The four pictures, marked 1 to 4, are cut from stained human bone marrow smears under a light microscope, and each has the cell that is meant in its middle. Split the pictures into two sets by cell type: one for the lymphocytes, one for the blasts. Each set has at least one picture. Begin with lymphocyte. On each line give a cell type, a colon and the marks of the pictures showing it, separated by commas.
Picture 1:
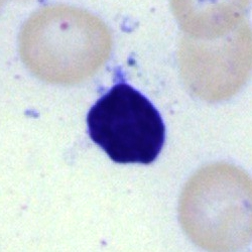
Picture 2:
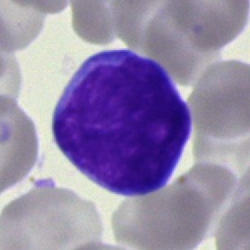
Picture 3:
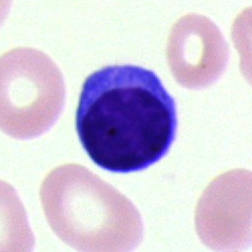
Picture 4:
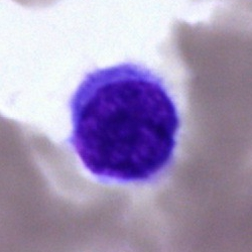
lymphocyte: 1, 3, 4
blast: 2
